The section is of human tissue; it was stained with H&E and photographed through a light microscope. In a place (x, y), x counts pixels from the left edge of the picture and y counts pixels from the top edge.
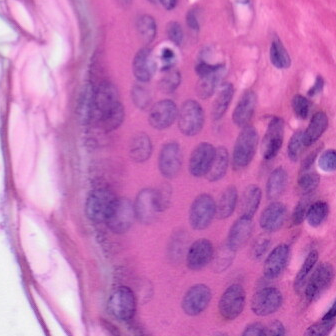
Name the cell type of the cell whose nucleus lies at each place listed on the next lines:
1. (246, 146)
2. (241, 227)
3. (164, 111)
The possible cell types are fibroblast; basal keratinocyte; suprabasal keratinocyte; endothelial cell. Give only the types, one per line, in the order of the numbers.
basal keratinocyte
suprabasal keratinocyte
suprabasal keratinocyte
